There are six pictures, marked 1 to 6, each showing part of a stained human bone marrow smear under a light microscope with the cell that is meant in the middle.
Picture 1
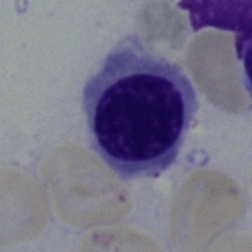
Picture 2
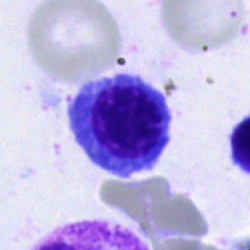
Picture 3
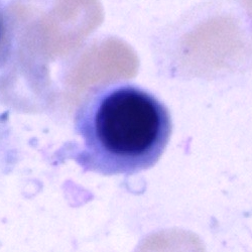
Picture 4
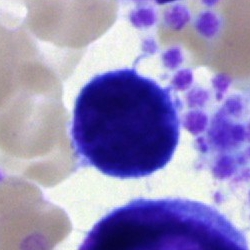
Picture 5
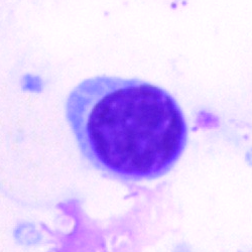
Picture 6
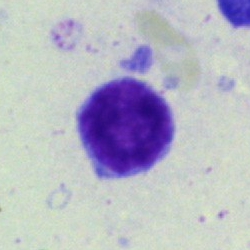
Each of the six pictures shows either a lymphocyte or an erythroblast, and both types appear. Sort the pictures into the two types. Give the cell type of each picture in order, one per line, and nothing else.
erythroblast
erythroblast
erythroblast
lymphocyte
lymphocyte
lymphocyte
